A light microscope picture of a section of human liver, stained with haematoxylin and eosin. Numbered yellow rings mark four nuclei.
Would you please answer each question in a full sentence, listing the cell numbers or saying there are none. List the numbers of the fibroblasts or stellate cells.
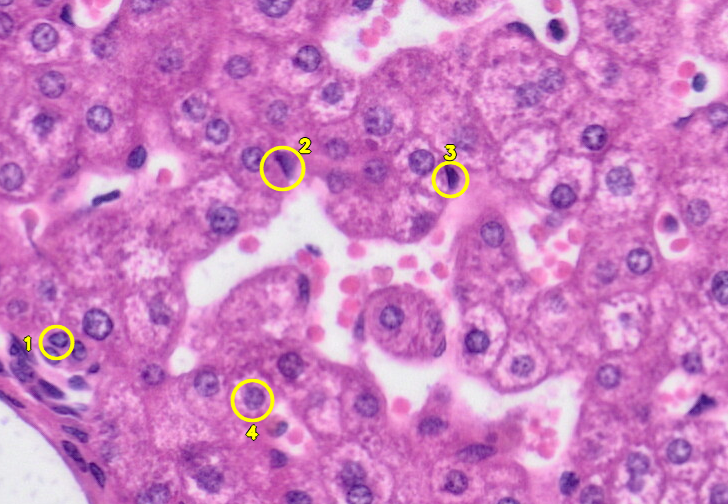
The cells carrying labels 2 and 3 are fibroblasts or stellate cells.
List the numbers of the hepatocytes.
Cell 4 is a hepatocyte; no further numbered cell is.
